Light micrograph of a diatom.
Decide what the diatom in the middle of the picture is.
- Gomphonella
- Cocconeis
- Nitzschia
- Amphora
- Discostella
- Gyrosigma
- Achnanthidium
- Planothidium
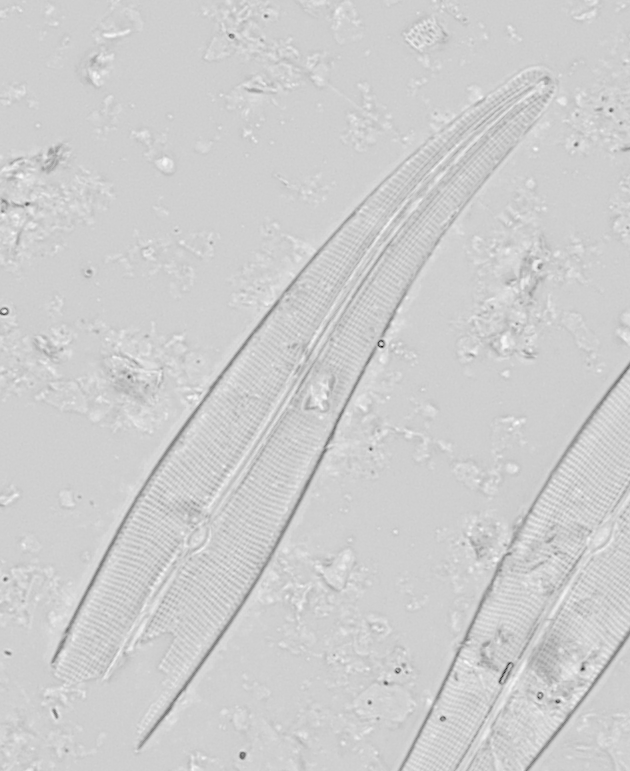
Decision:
Gyrosigma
